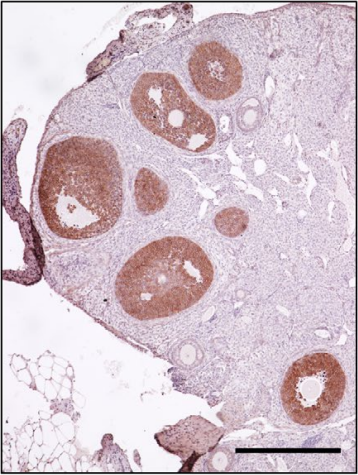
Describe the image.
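Smaller follicles with a round central cell and a thin rim of cells lie between the larger ones. Pale adipose tissue with empty round spaces borders the section at the lower left.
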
